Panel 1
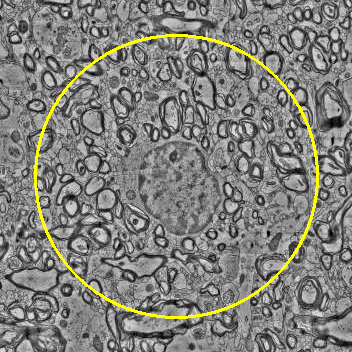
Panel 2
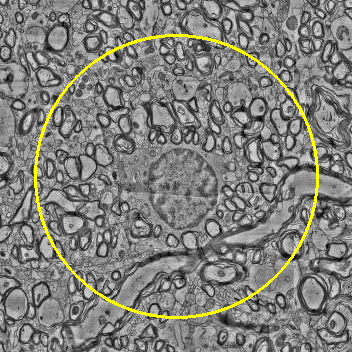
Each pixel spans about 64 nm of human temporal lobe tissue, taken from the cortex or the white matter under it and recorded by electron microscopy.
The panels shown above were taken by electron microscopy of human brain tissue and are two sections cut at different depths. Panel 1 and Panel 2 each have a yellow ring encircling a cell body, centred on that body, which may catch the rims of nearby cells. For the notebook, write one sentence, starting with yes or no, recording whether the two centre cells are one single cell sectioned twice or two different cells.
Yes, both rings are placed on a single cell.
